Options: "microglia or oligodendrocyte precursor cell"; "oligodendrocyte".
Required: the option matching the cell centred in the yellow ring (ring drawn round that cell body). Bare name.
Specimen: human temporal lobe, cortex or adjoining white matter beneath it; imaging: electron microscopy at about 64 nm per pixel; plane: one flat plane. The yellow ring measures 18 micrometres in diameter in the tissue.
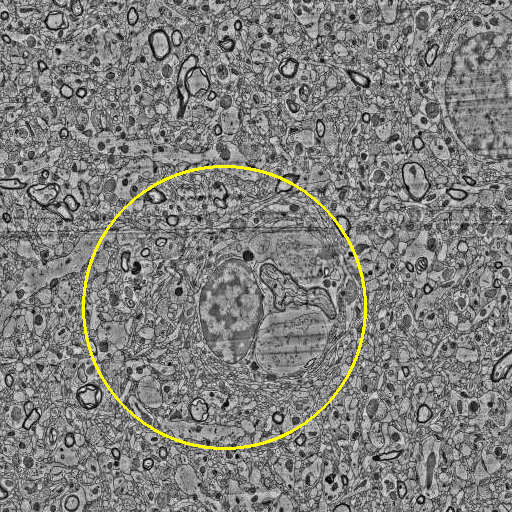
microglia or oligodendrocyte precursor cell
